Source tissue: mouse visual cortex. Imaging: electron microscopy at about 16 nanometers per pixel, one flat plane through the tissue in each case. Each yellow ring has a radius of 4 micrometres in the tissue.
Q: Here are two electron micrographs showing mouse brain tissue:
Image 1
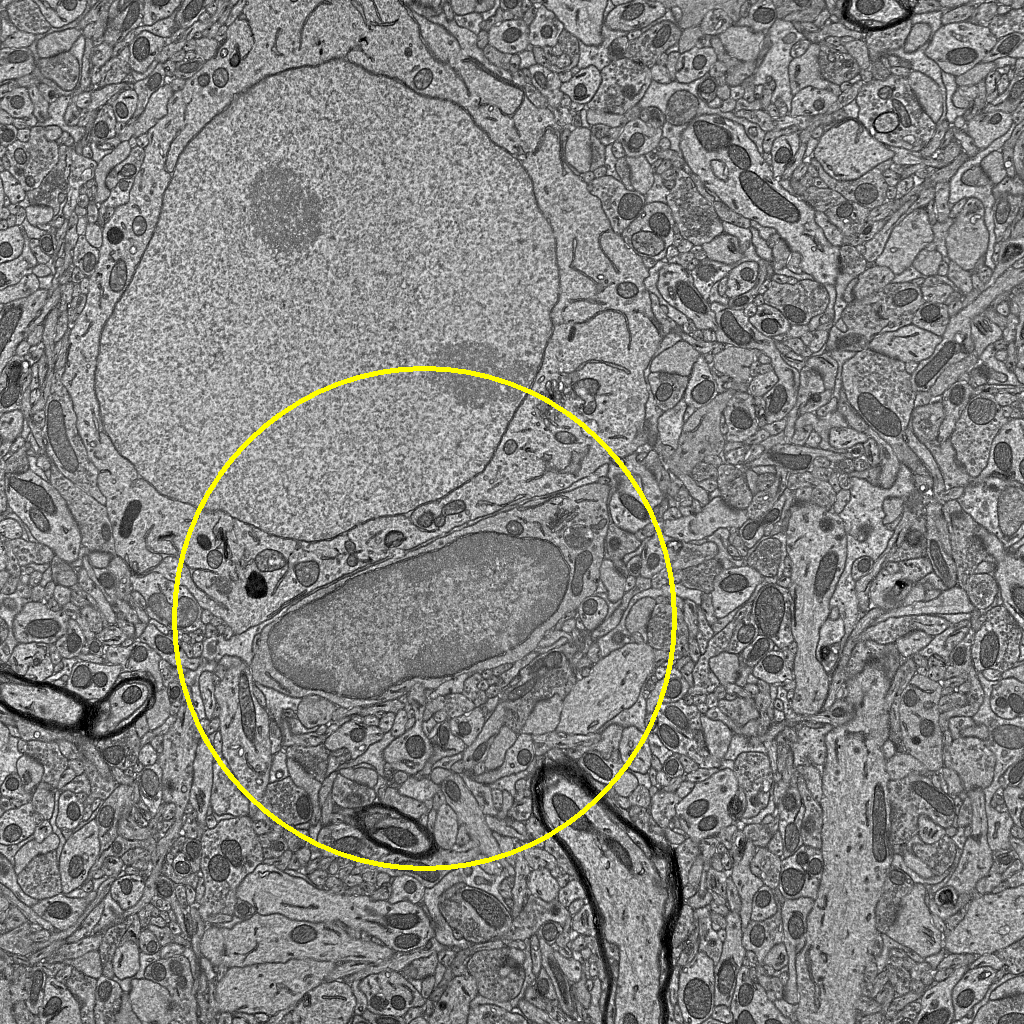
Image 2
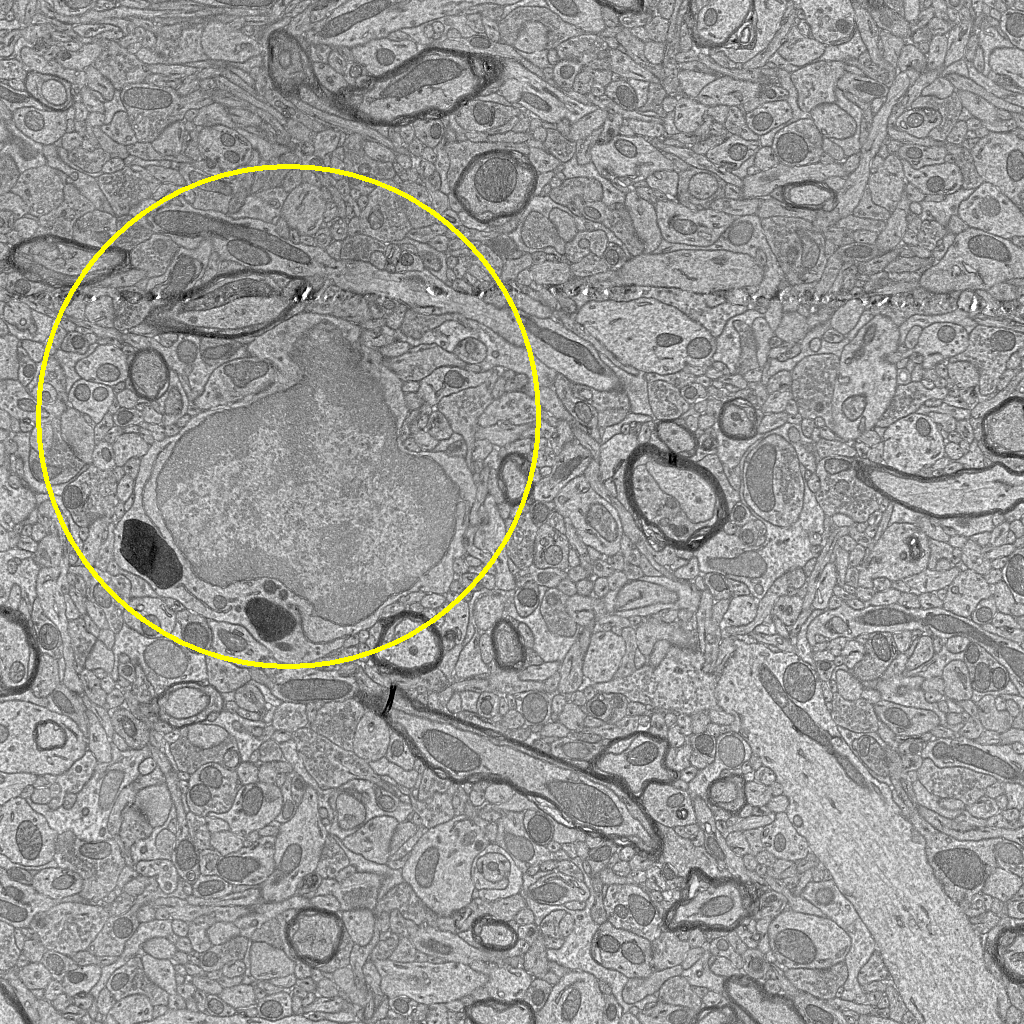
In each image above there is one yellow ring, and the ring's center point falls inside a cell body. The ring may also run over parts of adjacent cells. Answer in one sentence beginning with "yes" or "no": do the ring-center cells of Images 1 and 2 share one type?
Yes, in Images 1 and 2, the ring-center cells are both of one type.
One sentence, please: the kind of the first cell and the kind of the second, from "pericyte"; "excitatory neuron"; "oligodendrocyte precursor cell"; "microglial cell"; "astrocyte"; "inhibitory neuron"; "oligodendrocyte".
The cell in the first picture is a microglial cell, and so is the one in the second.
